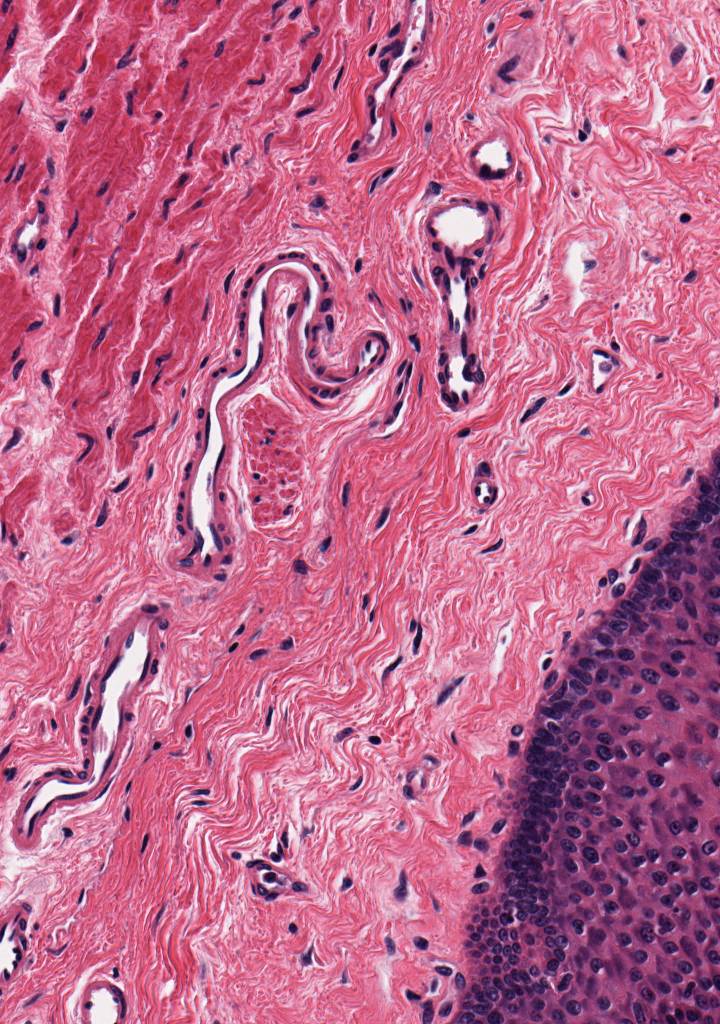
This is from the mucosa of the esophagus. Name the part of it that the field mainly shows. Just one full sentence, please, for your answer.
In this tissue section, the part on display is loose connective tissue.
